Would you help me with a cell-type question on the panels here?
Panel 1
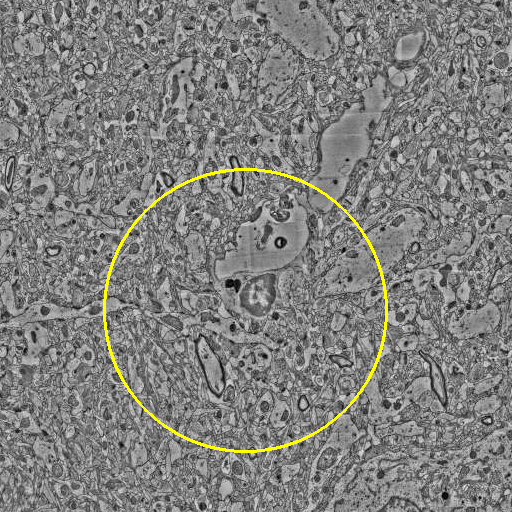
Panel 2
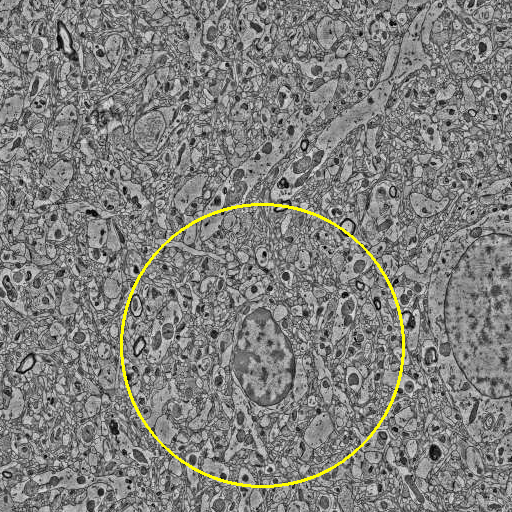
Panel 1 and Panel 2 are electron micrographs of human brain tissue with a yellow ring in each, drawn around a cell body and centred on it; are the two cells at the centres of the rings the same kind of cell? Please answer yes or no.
yes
